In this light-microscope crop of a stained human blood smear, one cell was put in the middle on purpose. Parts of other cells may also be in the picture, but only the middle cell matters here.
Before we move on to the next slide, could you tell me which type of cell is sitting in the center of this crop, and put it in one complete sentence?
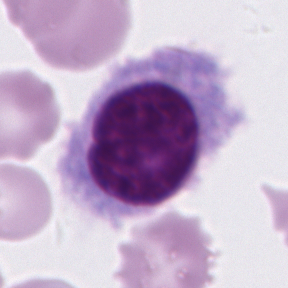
In the central position of this crop, the cell is a hairy cell.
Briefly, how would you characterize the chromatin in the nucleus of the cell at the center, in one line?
Here the nuclear chromatin is coarsely clumped.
